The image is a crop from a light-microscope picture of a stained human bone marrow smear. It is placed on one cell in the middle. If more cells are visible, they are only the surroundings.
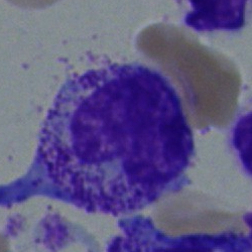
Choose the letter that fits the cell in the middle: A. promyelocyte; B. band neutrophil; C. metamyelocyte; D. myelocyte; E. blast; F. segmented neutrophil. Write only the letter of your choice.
C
